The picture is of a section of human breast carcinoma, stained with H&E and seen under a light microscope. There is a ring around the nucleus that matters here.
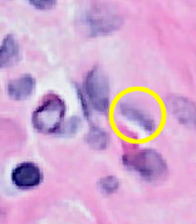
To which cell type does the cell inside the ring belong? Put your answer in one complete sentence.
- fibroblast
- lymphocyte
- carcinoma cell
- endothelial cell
The cell inside the ring appears to be an endothelial cell.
